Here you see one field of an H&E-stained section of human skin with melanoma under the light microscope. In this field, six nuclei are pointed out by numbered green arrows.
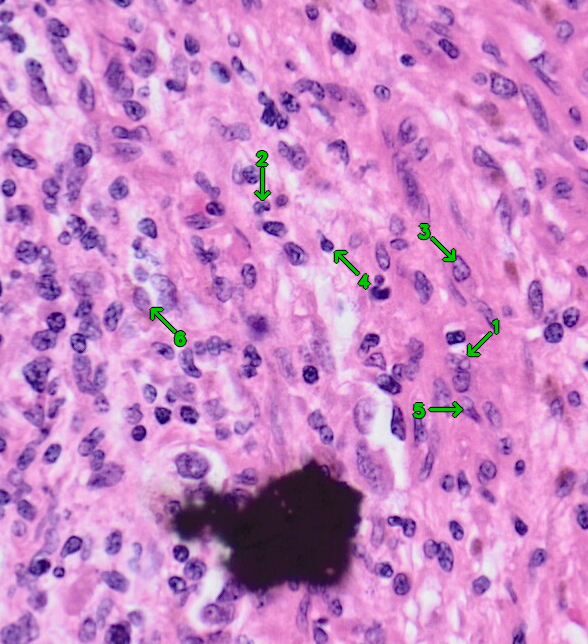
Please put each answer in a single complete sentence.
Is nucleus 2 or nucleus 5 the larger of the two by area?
Of the two, number 5 is bigger and takes up about 1.5 times the area of number 2.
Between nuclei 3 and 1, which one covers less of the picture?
The smaller nucleus is 1, and 3 covers roughly 2 times its area.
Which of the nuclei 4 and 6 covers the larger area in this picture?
Number 6 is larger; its area is about 2 times that of number 4.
